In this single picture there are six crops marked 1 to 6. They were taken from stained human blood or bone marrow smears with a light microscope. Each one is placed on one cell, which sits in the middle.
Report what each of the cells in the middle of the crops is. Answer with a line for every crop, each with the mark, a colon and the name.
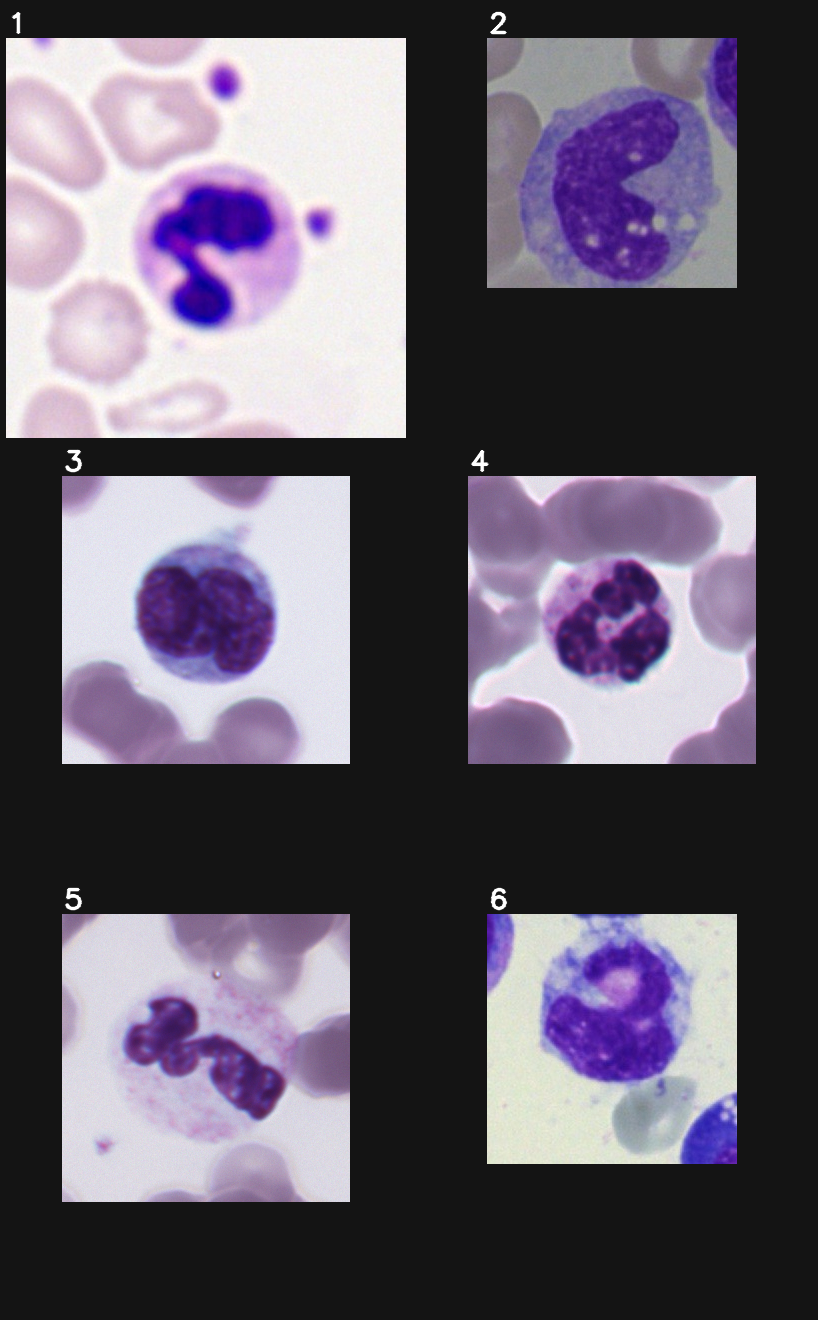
1: segmented neutrophil
2: monocyte
3: monocyte
4: segmented neutrophil
5: segmented neutrophil
6: monocyte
